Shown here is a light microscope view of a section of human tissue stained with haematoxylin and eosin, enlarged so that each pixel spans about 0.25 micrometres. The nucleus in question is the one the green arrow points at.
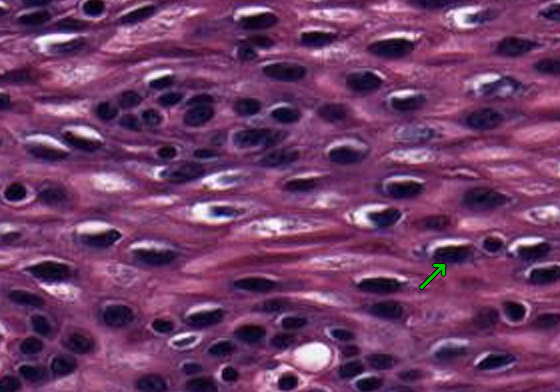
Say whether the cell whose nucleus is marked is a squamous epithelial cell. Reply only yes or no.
yes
